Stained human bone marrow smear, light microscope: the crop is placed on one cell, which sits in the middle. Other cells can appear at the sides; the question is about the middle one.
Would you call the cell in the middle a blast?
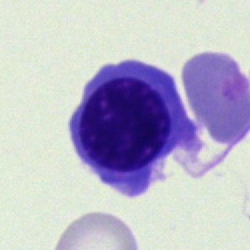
no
